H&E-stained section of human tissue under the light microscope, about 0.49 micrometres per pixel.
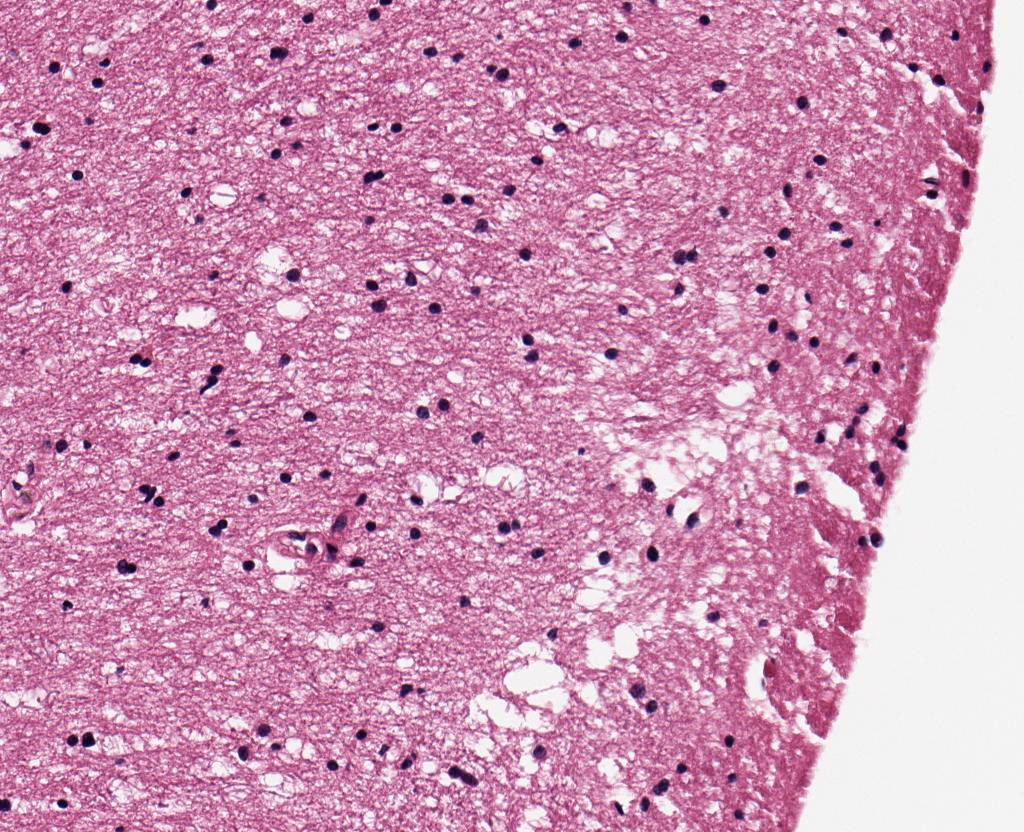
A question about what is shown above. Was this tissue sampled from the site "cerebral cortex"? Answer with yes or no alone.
yes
